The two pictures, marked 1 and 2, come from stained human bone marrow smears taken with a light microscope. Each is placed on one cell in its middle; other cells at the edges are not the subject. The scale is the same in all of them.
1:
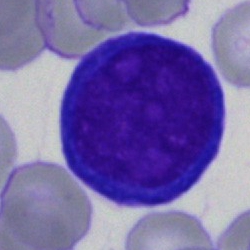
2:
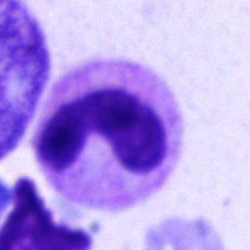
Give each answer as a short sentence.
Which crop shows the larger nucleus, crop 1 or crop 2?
It is the nucleus in crop 1, about 2.5 times as large in area as the one in crop 2.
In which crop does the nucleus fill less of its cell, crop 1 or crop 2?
The nucleus fills less of the cell in crop 2 than in crop 1.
